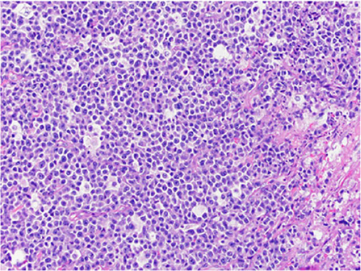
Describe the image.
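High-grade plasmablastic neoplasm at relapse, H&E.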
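At low power this tumour forms a diffuse, closely packed sheet of large cells with purple nuclei, broken by scattered pale clear spots that give a starry sky look. No glands, follicles or other organised structures remain. Along the right edge there are pink strands of fibrous tissue where the sheet thins out.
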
